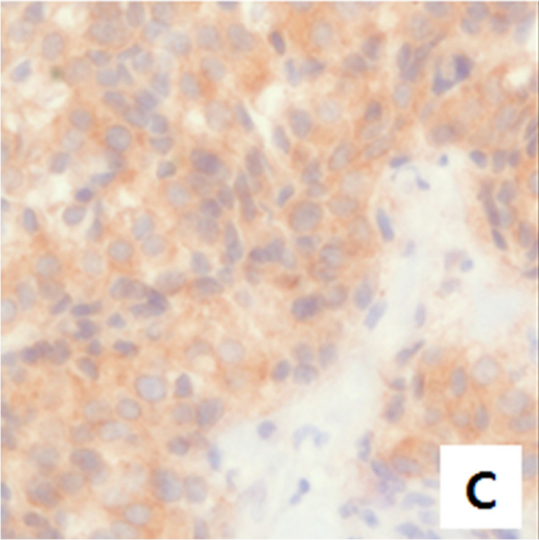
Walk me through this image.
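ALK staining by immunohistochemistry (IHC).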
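This shows a crowded sheet of tumor cells with light brown cytoplasmic staining beside a pale, loose stromal area at the lower right. The tumor cells are closely packed, with moderate amounts of cytoplasm and round to oval, pale blue nuclei that overlap in places. Cell borders are less distinct than in a well-spaced epithelium. The stroma contains only a few small unstained cells.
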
